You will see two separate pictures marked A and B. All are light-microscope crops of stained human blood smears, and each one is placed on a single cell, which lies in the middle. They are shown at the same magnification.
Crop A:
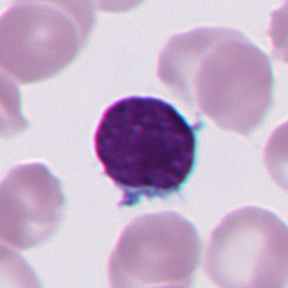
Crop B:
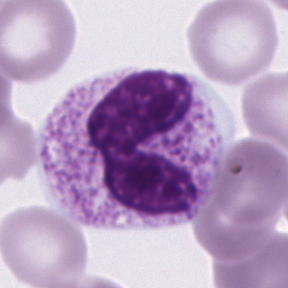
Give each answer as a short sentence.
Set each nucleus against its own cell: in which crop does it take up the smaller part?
Of the two, the nucleus in crop B leaves more room for cytoplasm.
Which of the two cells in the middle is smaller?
Smaller is the cell in crop A, and the other is about 2.5 times as large in area.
